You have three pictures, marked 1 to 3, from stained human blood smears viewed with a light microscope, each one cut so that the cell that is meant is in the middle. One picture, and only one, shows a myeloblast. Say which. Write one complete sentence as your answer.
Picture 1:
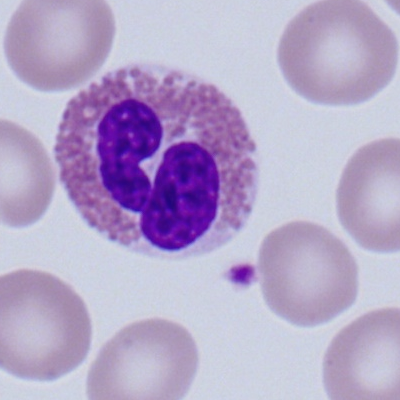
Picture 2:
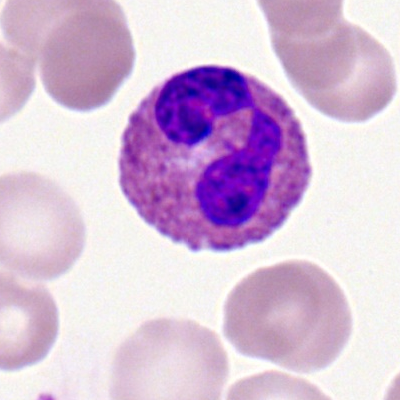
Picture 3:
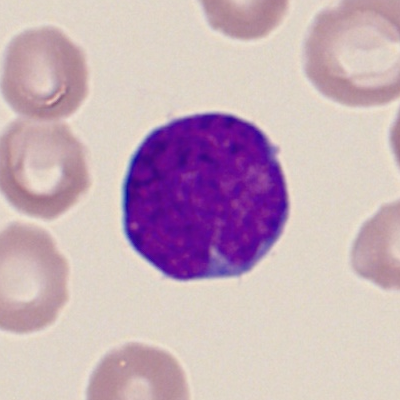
Picture 3 is the one that shows the myeloblast.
